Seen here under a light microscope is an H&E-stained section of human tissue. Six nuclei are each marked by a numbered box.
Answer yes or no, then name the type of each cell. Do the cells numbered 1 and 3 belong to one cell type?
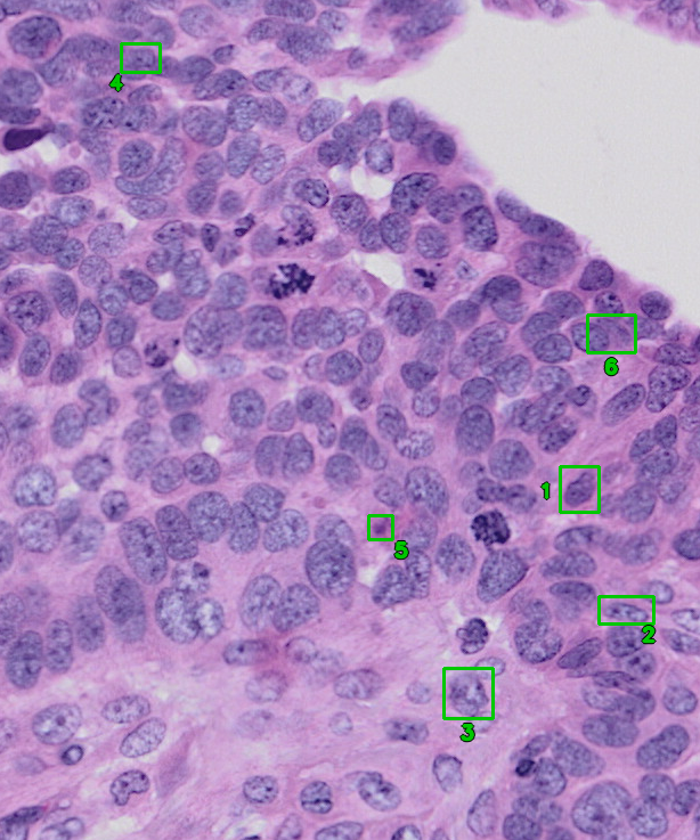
No; cell 1 is a carcinoma cell, and cell 3 is a fibroblast.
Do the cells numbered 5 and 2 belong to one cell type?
No, cell 5 is a carcinoma cell; as for cell 2, that one is a fibroblast.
